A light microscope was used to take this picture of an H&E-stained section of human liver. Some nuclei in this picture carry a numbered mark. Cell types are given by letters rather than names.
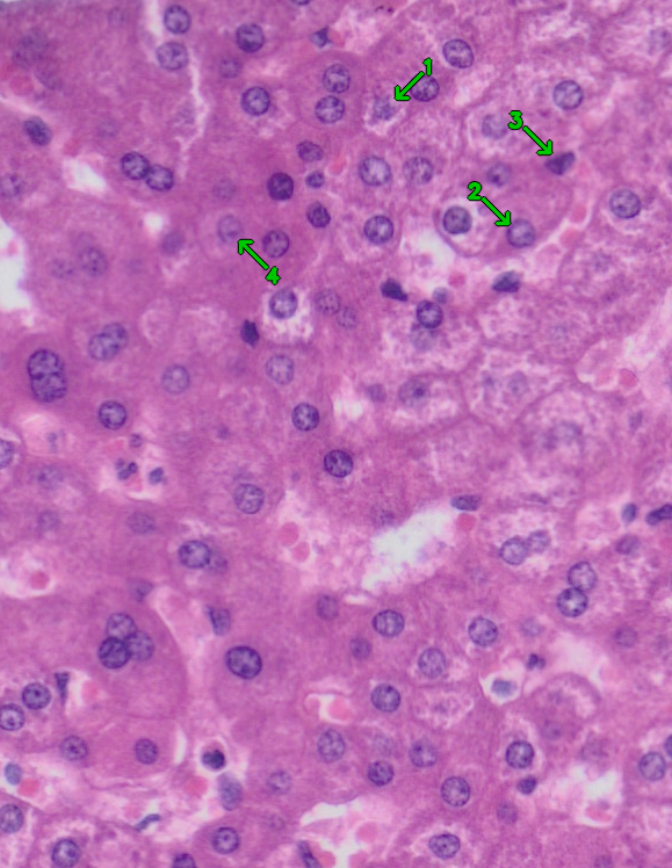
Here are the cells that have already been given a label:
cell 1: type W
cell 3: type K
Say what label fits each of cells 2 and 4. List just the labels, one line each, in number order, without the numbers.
type W
type W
